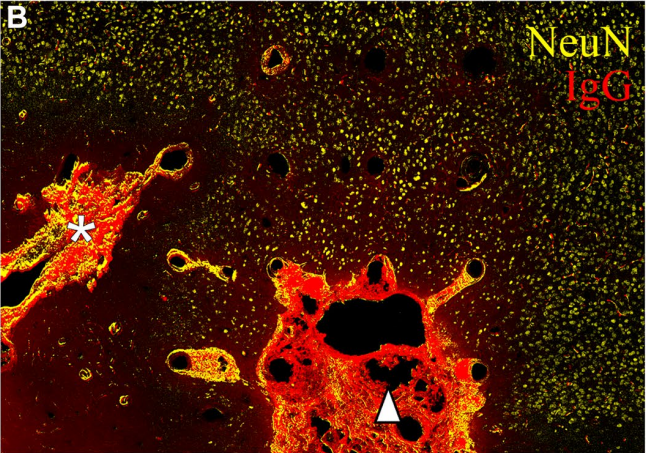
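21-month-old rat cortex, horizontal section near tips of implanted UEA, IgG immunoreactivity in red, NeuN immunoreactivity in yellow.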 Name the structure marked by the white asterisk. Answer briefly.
Lesion cavity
